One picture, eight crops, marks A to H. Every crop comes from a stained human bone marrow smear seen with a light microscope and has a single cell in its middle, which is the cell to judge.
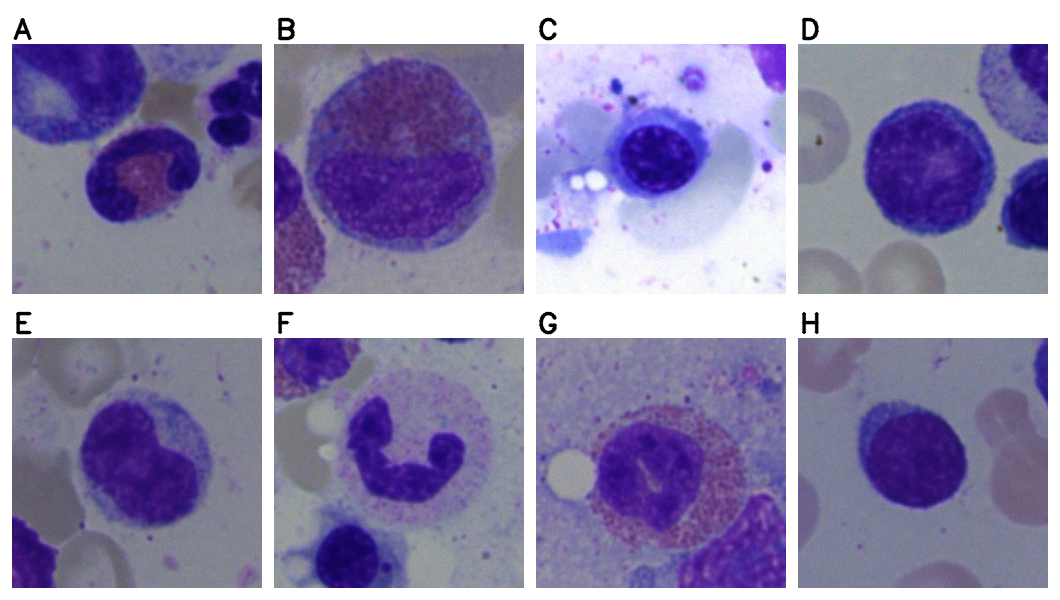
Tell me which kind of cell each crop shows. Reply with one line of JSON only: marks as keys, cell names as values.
{"A": "eosinophil", "B": "eosinophil", "C": "erythroblast", "D": "blast", "E": "metamyelocyte", "F": "band neutrophil", "G": "eosinophil", "H": "lymphocyte"}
